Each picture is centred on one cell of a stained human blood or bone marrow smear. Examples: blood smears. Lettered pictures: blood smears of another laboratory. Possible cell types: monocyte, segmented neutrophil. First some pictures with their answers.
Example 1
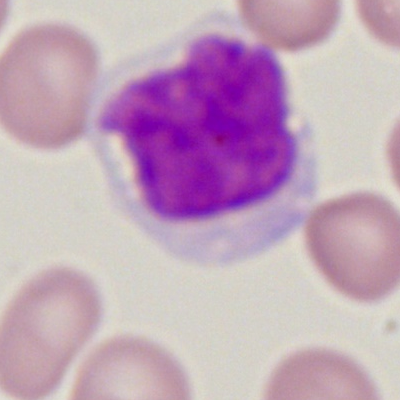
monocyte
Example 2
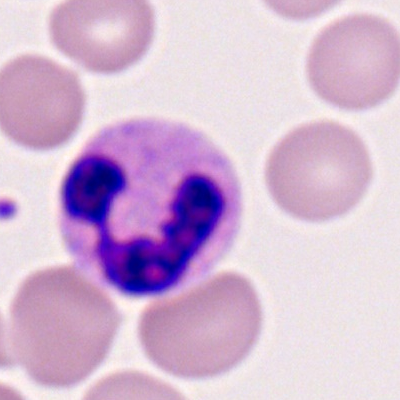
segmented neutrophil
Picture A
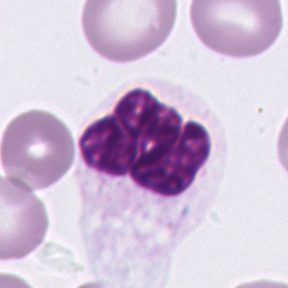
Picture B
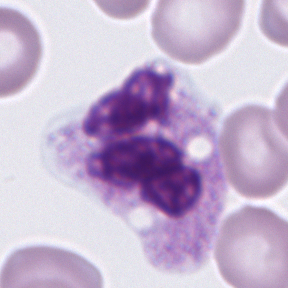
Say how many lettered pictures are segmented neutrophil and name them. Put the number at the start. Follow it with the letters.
2, namely A, B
